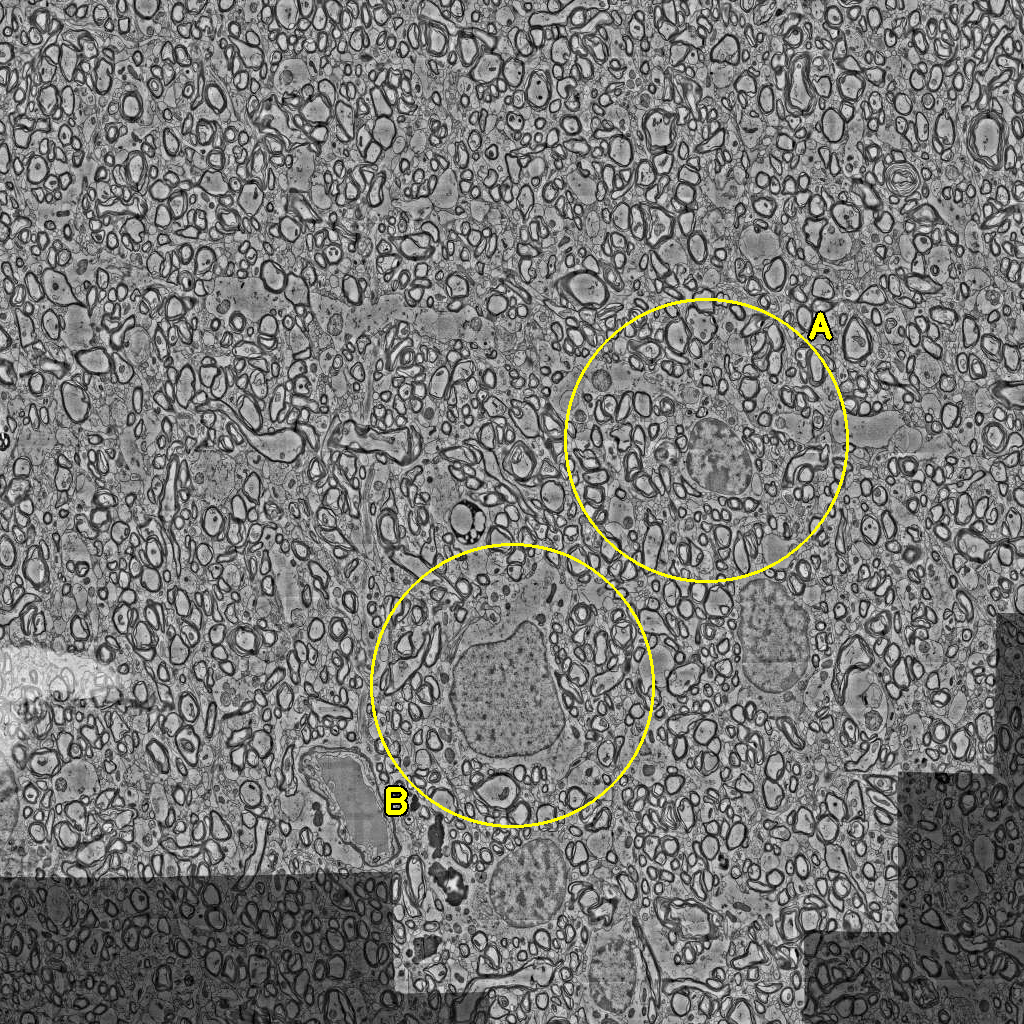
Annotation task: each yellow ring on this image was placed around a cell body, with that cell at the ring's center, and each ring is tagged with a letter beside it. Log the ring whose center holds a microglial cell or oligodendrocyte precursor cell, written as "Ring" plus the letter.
Ring A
